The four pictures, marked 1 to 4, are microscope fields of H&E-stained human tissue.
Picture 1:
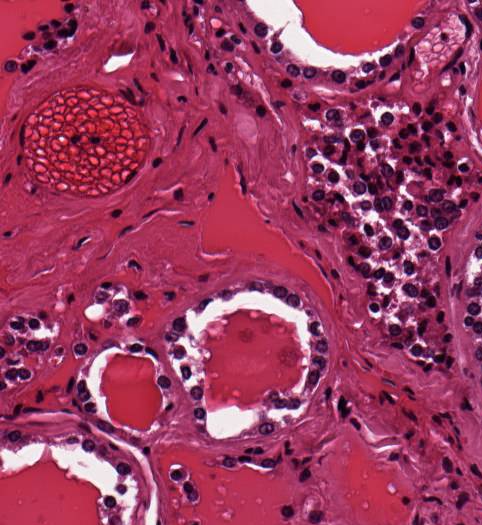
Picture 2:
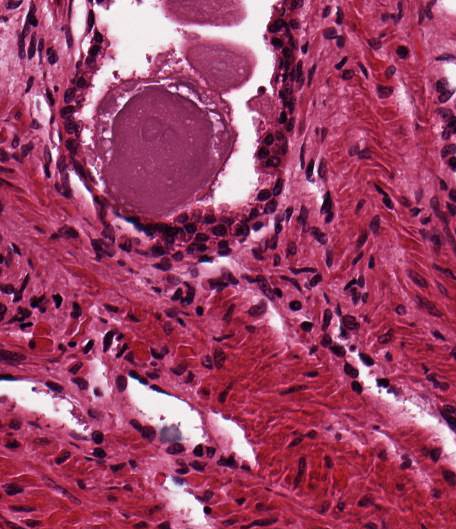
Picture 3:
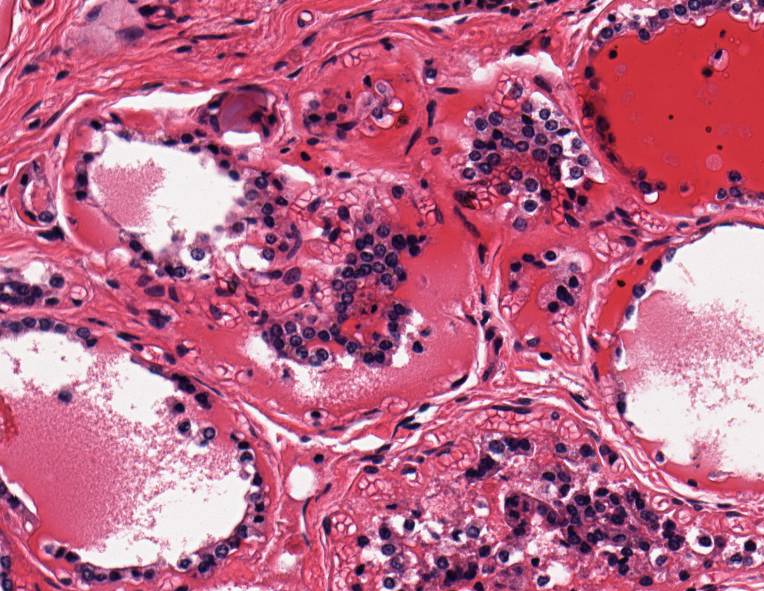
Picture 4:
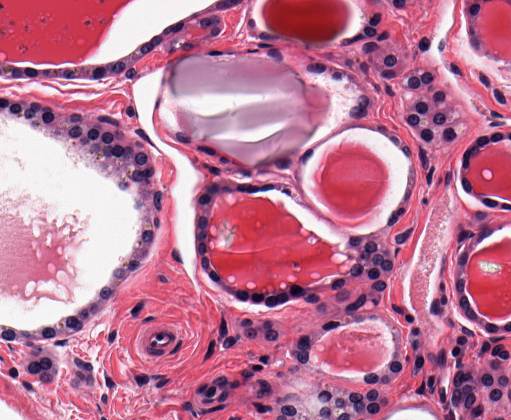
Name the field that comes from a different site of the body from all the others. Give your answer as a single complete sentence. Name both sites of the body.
Unlike the rest, which come from the thyroid, picture 2 comes from the prostate.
